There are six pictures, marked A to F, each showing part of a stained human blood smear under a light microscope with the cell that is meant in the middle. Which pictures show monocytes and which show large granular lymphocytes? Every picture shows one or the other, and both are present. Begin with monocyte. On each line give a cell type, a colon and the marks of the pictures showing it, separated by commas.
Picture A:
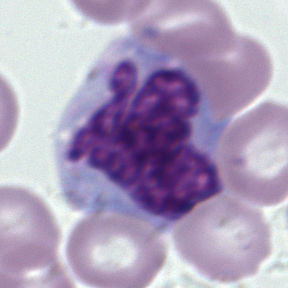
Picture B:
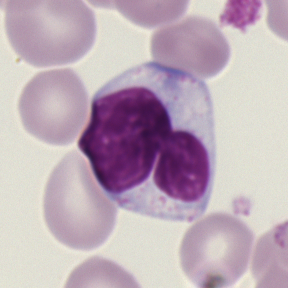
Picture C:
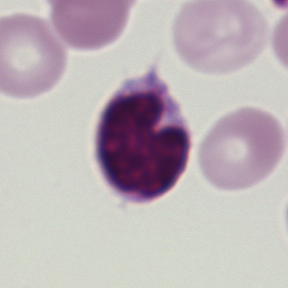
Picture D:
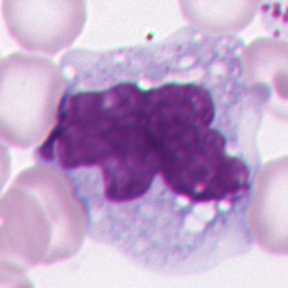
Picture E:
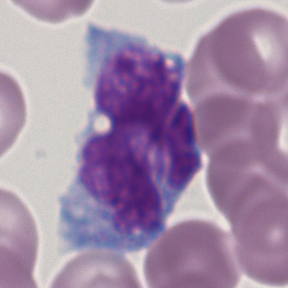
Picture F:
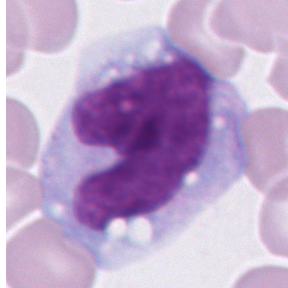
monocyte: A, D, E, F
large granular lymphocyte: B, C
